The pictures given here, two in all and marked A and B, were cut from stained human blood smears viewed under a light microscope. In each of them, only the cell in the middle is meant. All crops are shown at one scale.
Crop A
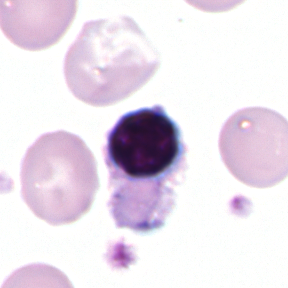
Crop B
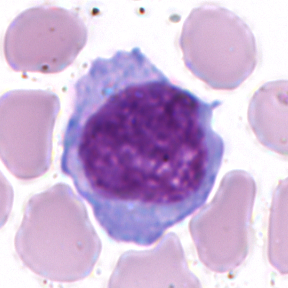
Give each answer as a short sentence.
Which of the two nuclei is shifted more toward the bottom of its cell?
In crop B the nucleus is shifted more toward the bottom.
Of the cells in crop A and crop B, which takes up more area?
Crop B holds the larger cell; it covers about 3 times the area of the cell in crop A.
